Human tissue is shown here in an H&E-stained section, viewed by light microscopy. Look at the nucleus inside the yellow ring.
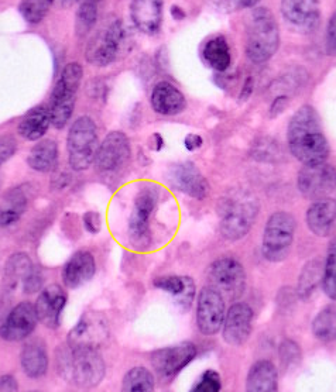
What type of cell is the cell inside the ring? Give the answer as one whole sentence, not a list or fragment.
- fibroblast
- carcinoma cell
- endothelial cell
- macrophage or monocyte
The identity of the cell inside the ring is that of an endothelial cell.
